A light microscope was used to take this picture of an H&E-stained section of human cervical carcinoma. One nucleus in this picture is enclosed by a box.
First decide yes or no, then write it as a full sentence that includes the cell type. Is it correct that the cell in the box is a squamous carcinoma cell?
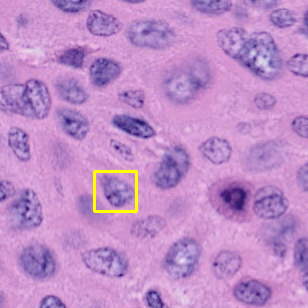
Yes, the cell in the box is a squamous carcinoma cell in this section.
